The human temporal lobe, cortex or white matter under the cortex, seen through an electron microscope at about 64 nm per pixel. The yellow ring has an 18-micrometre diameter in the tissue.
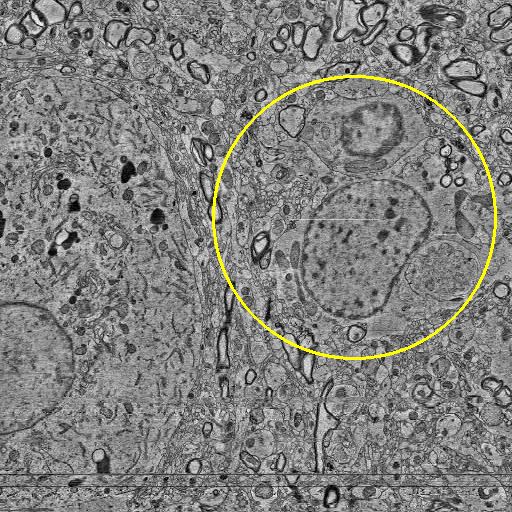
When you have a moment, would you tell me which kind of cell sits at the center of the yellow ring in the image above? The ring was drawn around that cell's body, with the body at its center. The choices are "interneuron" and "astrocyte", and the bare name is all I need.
astrocyte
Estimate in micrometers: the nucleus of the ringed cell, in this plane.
The nucleus of the ringed cell is approximately 10 by 7 micrometres in this plane.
